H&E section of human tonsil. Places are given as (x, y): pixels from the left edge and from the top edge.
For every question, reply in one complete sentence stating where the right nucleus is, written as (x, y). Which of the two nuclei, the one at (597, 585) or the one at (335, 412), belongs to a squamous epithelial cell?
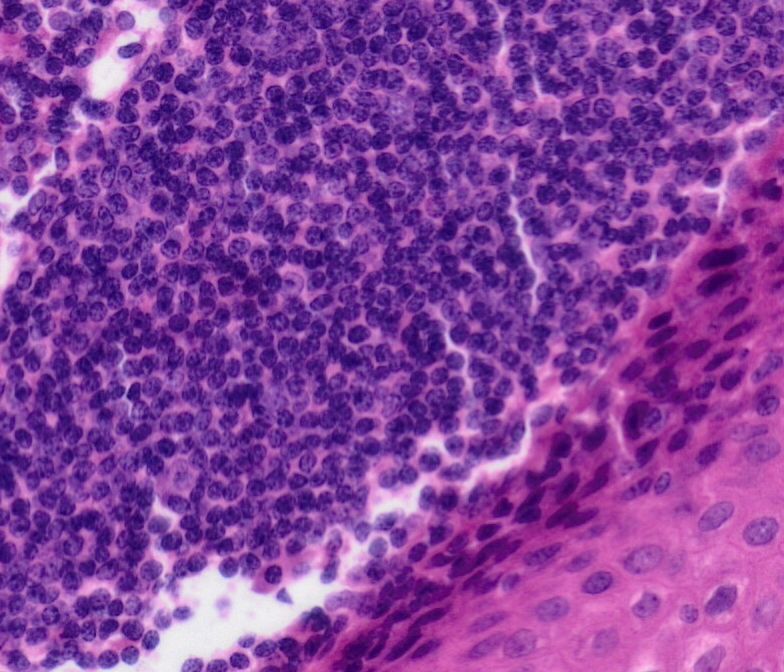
Located at (597, 585), this nucleus is the one belonging to a squamous epithelial cell.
